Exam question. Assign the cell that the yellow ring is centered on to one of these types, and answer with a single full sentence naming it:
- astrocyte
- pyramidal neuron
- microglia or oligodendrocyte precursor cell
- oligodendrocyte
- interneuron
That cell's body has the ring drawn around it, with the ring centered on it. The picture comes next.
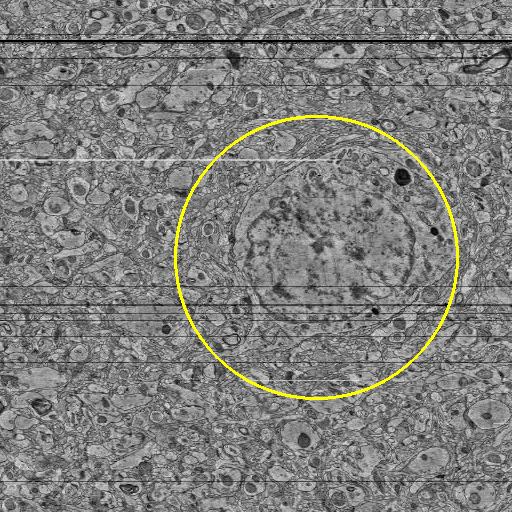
In the micrograph, the cell the yellow ring is centered on is an interneuron.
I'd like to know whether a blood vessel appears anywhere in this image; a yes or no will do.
No, there is no blood vessel in the image.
